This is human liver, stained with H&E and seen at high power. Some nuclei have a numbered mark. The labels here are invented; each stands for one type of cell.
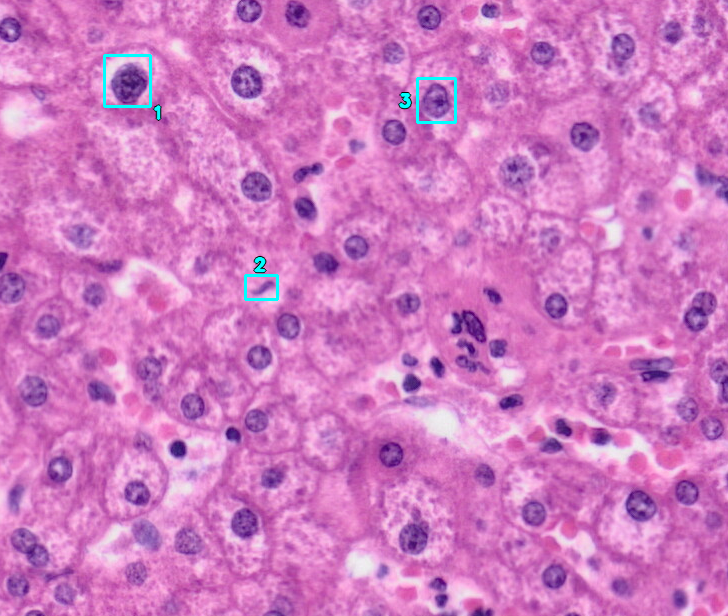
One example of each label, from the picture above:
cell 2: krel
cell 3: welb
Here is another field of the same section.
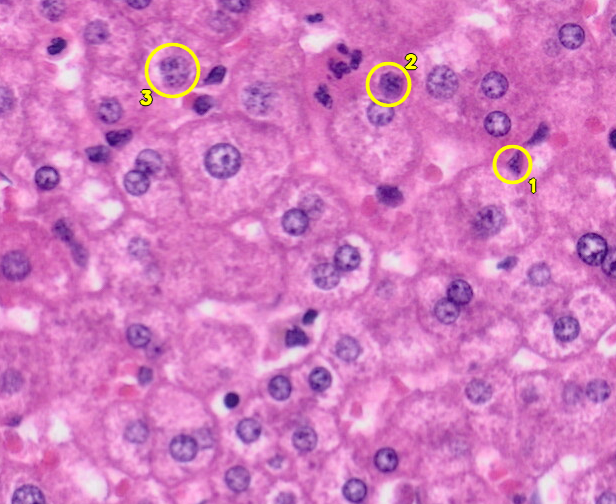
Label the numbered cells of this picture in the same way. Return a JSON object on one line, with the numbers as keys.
{"1": "krel", "2": "krel", "3": "welb"}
